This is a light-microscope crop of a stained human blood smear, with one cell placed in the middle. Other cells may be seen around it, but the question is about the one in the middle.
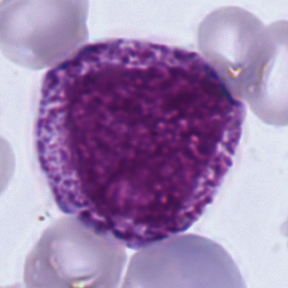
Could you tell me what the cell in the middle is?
promyelocyte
